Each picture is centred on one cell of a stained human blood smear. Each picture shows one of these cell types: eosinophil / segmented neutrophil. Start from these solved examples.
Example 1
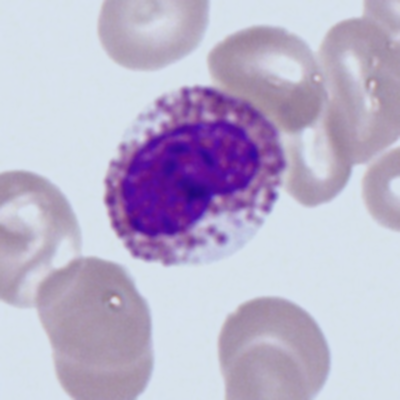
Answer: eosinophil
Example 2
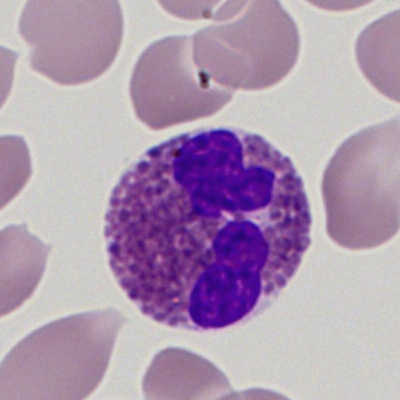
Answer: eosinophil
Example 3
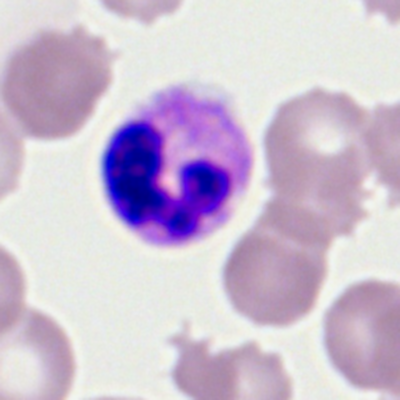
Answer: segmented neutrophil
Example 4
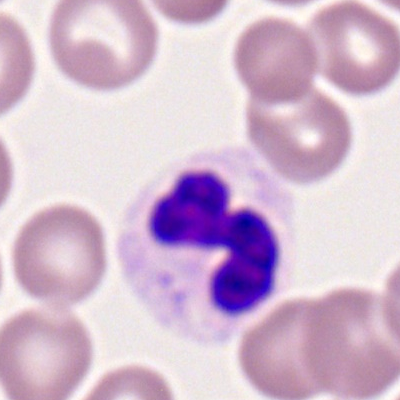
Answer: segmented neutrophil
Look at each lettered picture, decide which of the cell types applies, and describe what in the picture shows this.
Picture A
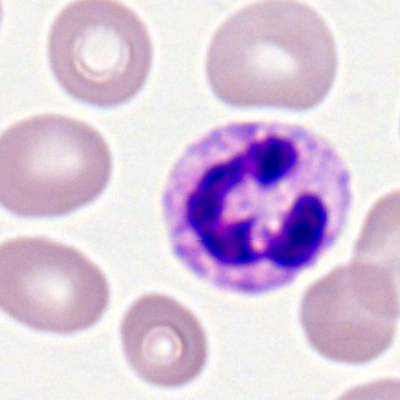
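segmented neutrophil. Evidence: The cytoplasm holds fine, faint pinkish-lilac granules.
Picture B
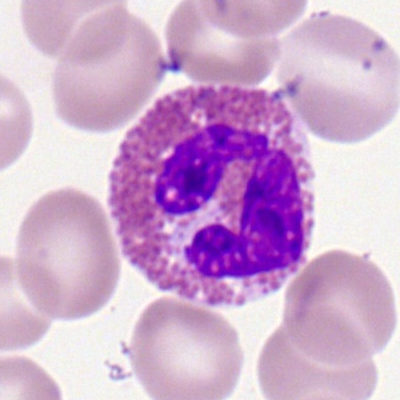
eosinophil. Evidence: The cytoplasm holds coarse reddish-pink granules.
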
